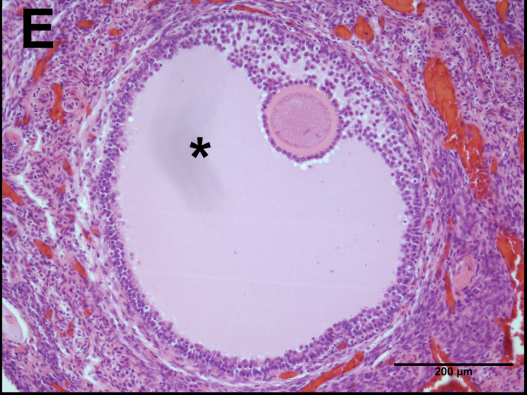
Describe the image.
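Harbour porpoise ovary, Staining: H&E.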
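Ovarian follicle with a large fluid-filled antrum holding pale pink homogeneous fluid. The wall is lined by several layers of small, closely packed granulosa cells with dark round nuclei. On one side a cumulus oophorus projects into the antrum, bearing a large round oocyte; the oocyte is ringed by a clear pink zona pellucida and a single row of corona radiata cells. Outside the granulosa lie concentric layers of flattened theca cells, and around them ovarian stroma with congested blood vessels full of red-orange erythrocytes.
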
